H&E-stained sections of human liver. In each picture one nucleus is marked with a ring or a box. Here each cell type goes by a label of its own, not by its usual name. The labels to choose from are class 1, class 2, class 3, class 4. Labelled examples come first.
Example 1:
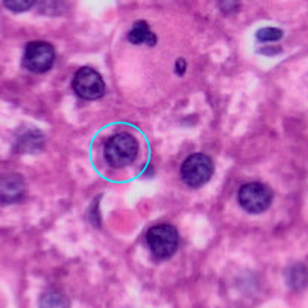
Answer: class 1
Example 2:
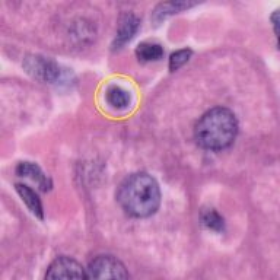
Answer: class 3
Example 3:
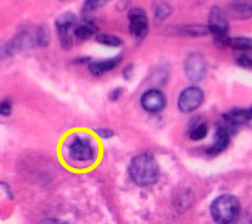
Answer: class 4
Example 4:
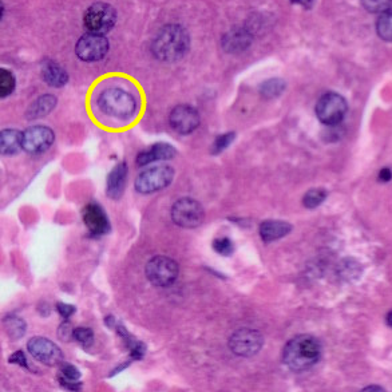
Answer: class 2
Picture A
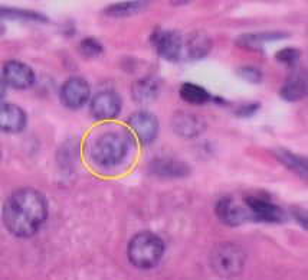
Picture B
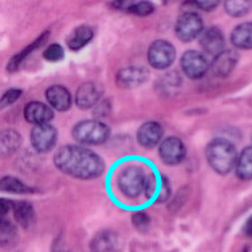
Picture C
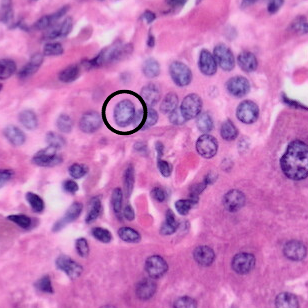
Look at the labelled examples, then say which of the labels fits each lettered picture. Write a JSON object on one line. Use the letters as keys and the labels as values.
{"A": "class 2", "B": "class 2", "C": "class 2"}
